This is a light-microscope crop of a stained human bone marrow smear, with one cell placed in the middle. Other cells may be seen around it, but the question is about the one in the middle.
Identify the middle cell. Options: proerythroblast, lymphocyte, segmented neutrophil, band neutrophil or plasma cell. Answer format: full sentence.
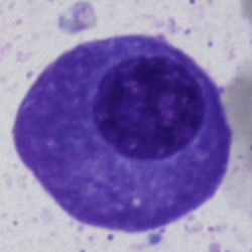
Centred in the crop is a plasma cell.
